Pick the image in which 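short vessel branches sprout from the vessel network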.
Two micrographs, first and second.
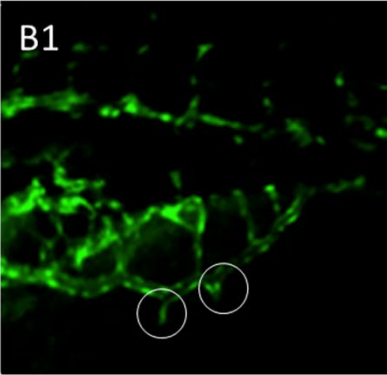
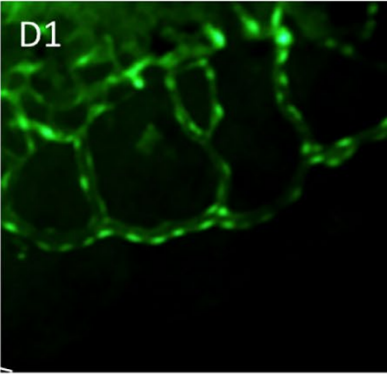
The first image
